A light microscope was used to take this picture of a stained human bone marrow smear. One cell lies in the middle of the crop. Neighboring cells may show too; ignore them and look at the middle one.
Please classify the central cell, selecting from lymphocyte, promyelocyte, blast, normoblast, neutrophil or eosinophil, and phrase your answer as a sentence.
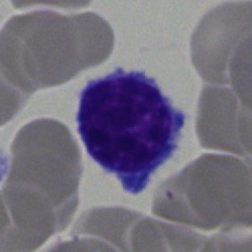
Whatever else lies nearby, the middle cell is a lymphocyte.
